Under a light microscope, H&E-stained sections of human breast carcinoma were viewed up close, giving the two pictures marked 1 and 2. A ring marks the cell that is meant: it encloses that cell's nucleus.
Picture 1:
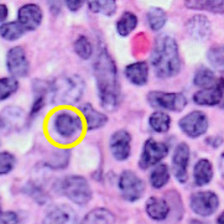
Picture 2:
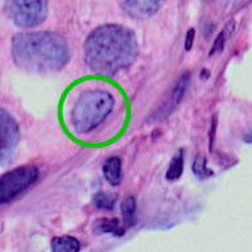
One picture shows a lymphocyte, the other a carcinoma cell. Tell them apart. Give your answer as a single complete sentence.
Picture 1 is of a lymphocyte, and picture 2 is of a carcinoma cell.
